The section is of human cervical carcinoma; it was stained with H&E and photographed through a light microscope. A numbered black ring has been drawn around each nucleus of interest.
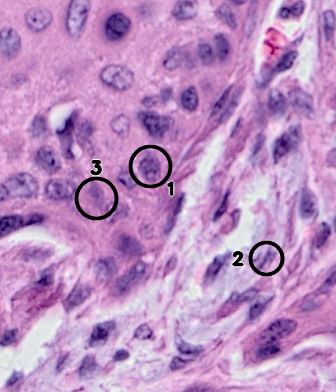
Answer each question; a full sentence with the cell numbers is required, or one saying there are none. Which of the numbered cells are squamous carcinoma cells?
The cells which carry the numbers 1 and 3 are squamous carcinoma cells.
